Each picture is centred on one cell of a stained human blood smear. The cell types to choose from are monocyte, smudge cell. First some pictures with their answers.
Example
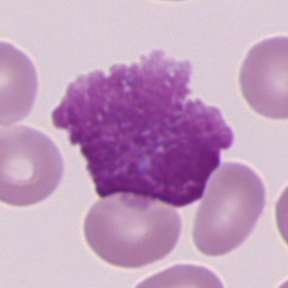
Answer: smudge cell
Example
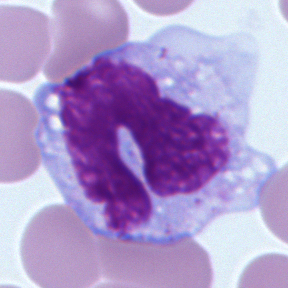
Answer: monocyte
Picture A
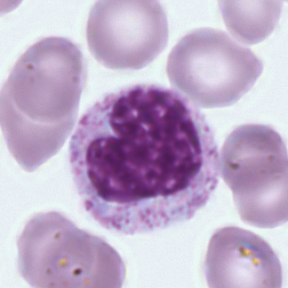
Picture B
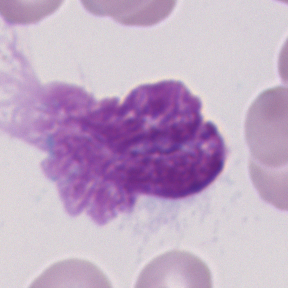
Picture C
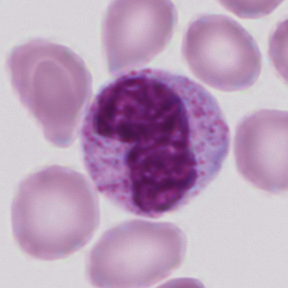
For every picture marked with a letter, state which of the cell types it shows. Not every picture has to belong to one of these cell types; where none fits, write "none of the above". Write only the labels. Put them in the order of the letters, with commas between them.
none of the above, smudge cell, none of the above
